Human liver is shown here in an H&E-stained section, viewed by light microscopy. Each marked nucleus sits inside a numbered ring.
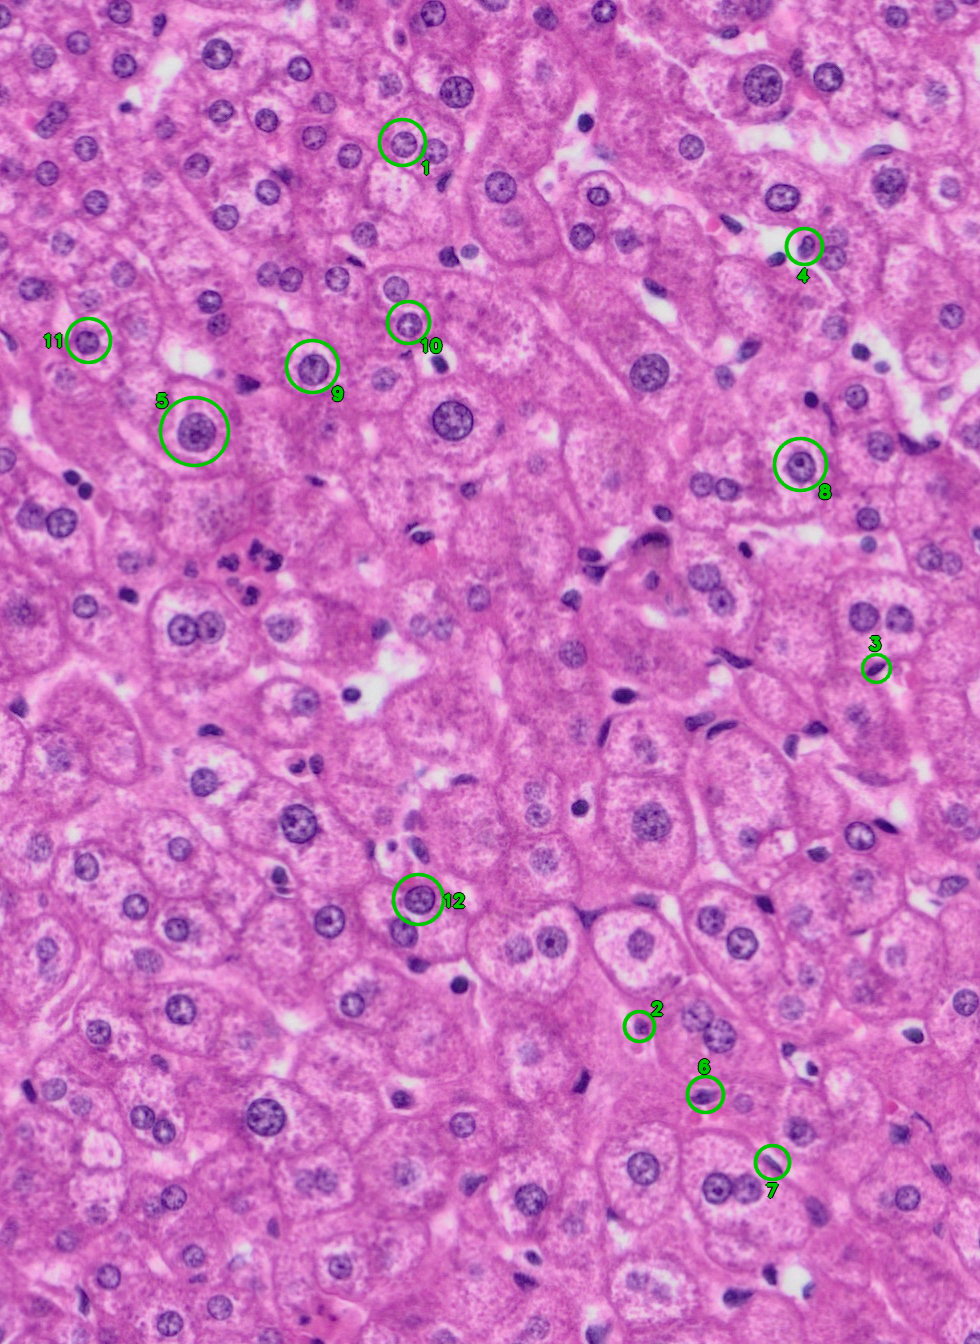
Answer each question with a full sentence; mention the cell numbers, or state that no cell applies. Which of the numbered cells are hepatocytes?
So, the cells with numbers 1, 5, 8, 9, 10, 11 and 12 are hepatocytes.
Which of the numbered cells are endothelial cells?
The cells with the numbers 6 and 7 are endothelial cells.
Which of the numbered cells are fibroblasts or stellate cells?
Unlike the other numbered cells, cell 3 is a fibroblast or stellate cell.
